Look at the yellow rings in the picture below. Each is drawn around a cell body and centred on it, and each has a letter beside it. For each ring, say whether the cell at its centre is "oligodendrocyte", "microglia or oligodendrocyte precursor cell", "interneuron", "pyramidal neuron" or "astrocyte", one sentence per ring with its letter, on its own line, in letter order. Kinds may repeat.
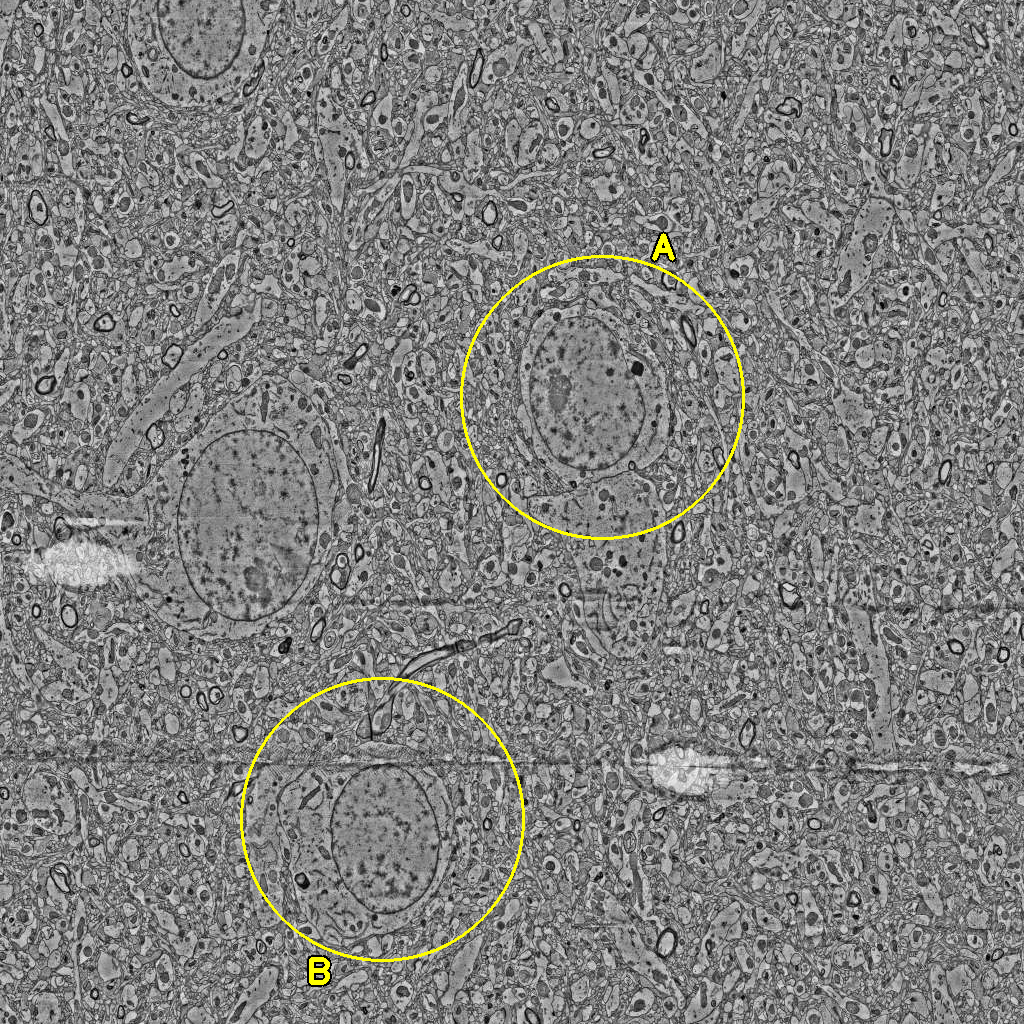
The centred cell of ring A is an interneuron.
The centred cell of ring B is a pyramidal neuron.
